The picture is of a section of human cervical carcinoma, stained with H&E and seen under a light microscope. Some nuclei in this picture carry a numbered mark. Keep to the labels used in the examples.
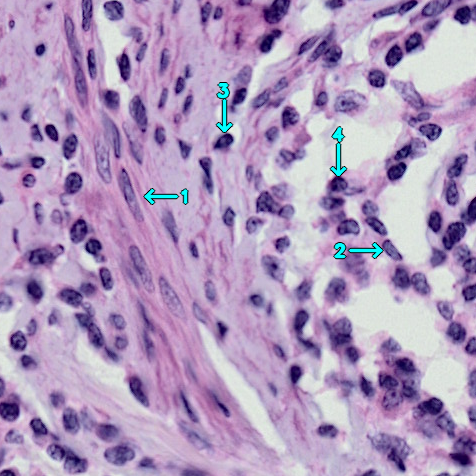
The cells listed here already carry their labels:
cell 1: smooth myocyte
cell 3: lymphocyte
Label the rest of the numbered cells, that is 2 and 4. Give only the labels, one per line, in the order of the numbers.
lymphocyte
lymphocyte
